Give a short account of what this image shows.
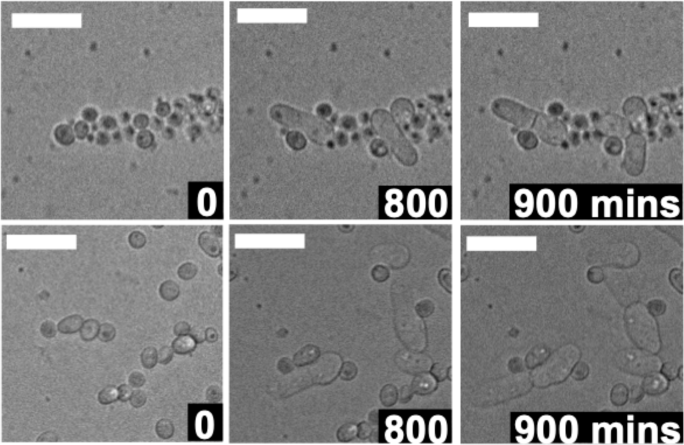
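In a series of unstained brightfield frames, small round refractile bodies lie singly and in loose clusters on the surface in the first frame. In the later frames a few of these bodies have swollen and pushed out into elongated, rod- or club-shaped cells with smooth walls and a pale cytoplasm, several times the length of the round bodies. Many of the neighbouring round bodies are unchanged across the frames. These are spores germinating, with some growing out into cells while others stay dormant.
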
